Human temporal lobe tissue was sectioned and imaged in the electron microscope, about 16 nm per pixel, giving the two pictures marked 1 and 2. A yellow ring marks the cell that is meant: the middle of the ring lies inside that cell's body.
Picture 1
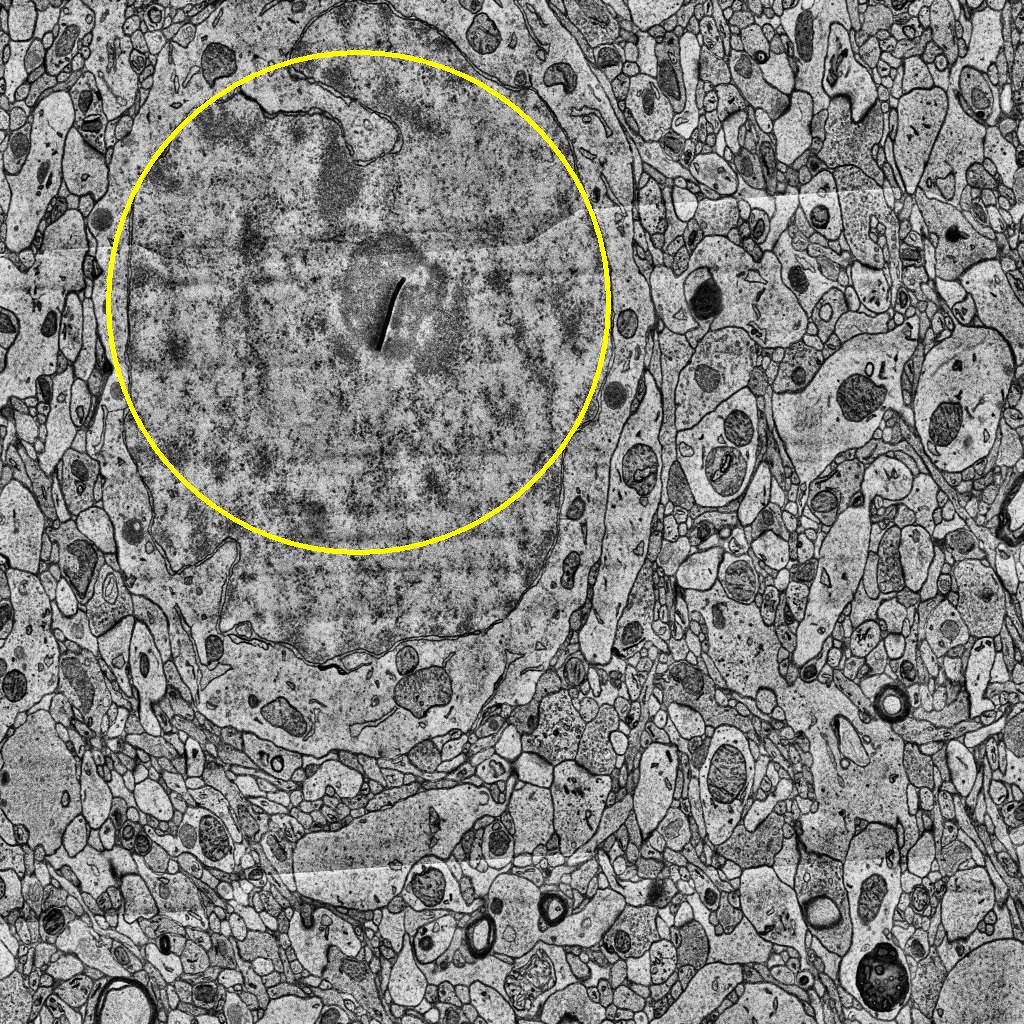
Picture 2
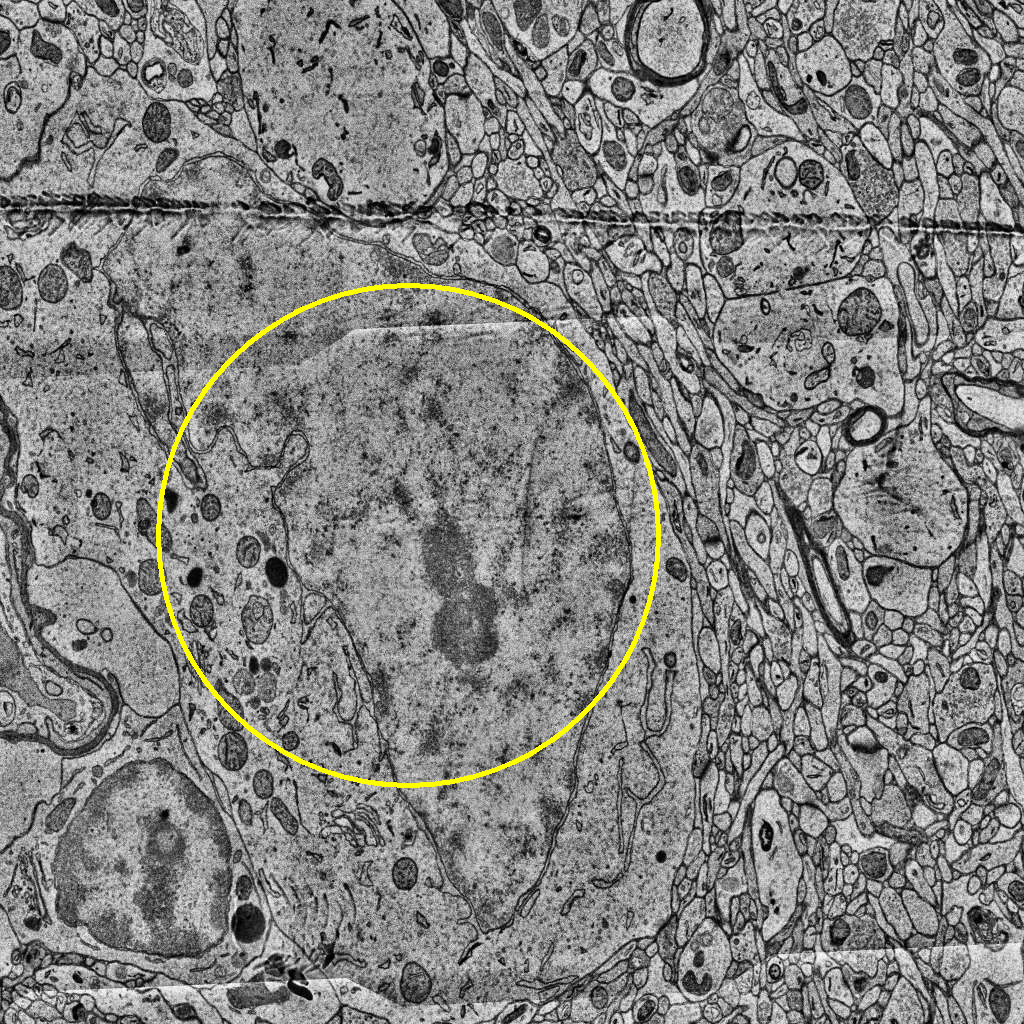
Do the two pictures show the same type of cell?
Yes, both are interneurons.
